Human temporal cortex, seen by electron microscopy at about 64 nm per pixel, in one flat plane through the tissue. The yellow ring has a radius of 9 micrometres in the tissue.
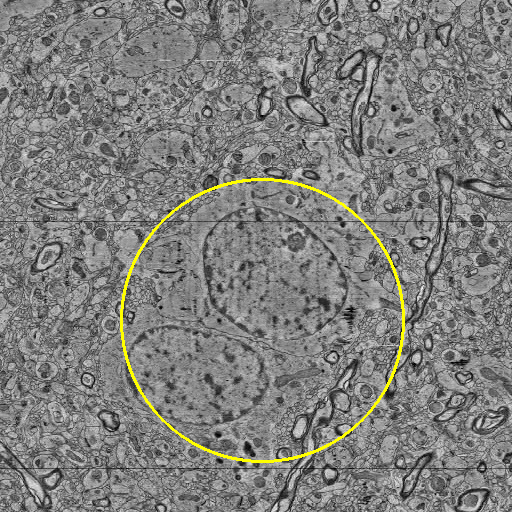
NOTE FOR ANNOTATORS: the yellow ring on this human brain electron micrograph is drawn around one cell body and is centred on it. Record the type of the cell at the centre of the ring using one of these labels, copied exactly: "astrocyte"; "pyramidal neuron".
astrocyte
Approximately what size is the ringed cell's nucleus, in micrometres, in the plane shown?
Roughly 10 micrometres by 8 micrometres, in this plane.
